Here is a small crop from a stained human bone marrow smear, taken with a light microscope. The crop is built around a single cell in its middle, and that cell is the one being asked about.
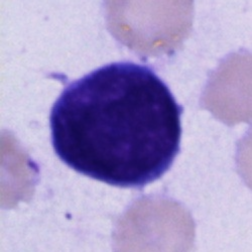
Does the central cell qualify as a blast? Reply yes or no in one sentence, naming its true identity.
Yes, the cell found in the middle is a blast.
